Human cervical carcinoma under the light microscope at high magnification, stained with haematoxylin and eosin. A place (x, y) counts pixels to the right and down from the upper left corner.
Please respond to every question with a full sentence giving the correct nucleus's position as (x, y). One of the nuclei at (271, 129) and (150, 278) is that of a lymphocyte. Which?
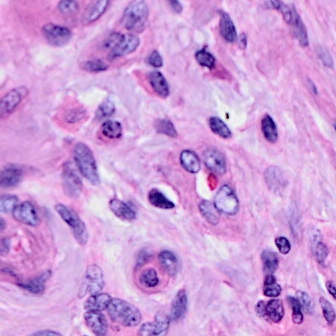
Of the two nuclei present, the one at (271, 129) is within a lymphocyte.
